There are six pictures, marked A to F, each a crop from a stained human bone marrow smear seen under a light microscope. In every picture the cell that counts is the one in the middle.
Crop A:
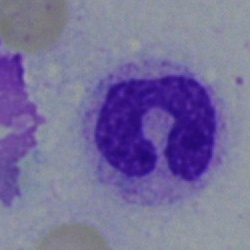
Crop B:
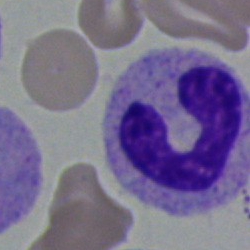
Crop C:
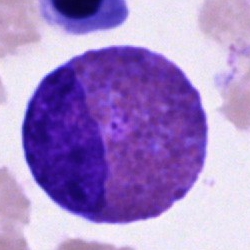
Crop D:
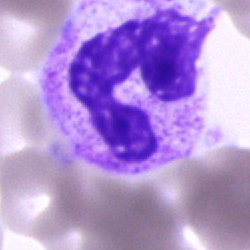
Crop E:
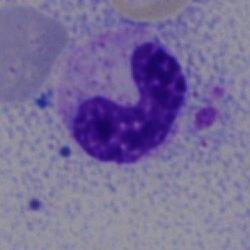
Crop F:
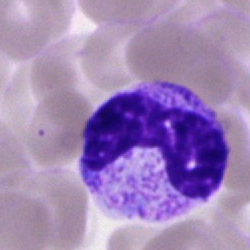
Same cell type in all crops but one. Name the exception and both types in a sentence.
Whereas the other crops show band neutrophils, crop C is an eosinophil.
